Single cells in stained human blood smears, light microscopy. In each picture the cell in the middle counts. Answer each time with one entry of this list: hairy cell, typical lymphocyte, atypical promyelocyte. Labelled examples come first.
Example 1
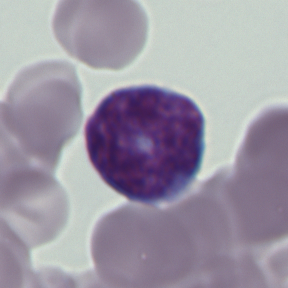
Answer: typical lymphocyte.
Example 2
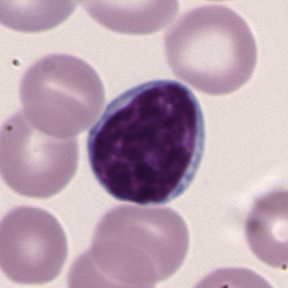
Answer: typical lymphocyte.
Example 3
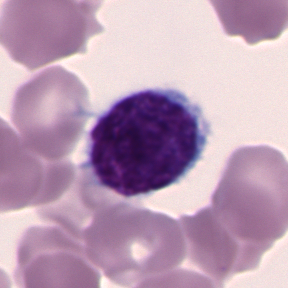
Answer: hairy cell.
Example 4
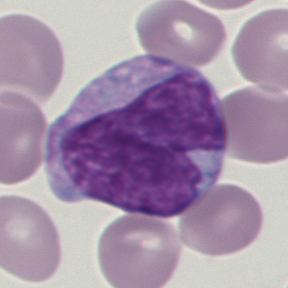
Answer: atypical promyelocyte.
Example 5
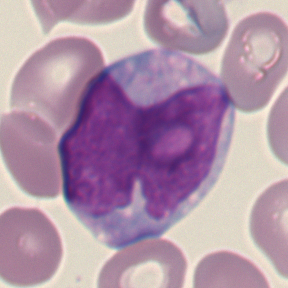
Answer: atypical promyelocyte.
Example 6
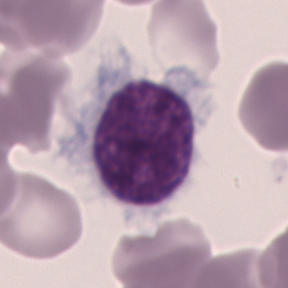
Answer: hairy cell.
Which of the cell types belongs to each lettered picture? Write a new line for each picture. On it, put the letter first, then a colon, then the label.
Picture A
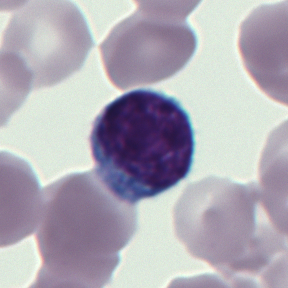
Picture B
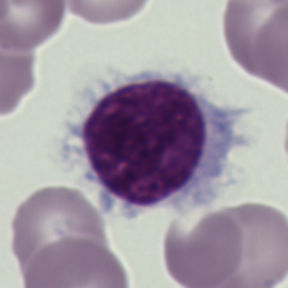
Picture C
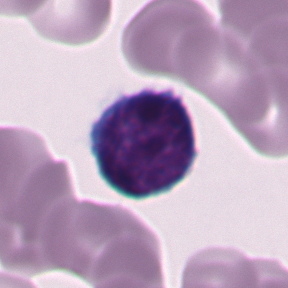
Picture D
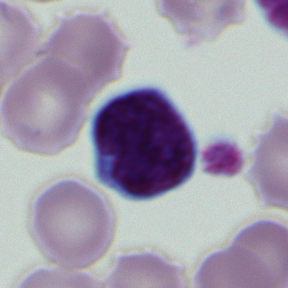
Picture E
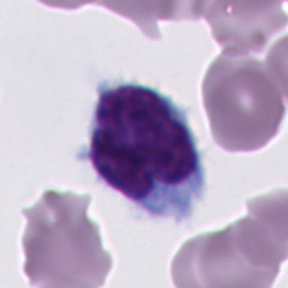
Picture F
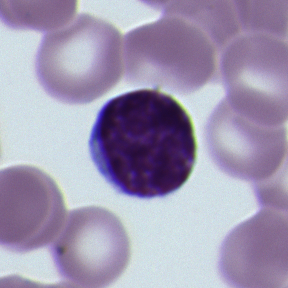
A: typical lymphocyte.
B: hairy cell.
C: typical lymphocyte.
D: typical lymphocyte.
E: hairy cell.
F: typical lymphocyte.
